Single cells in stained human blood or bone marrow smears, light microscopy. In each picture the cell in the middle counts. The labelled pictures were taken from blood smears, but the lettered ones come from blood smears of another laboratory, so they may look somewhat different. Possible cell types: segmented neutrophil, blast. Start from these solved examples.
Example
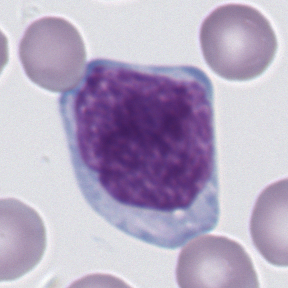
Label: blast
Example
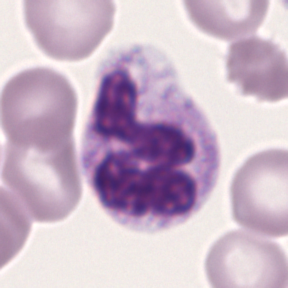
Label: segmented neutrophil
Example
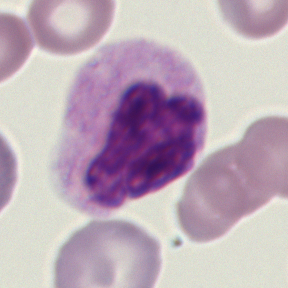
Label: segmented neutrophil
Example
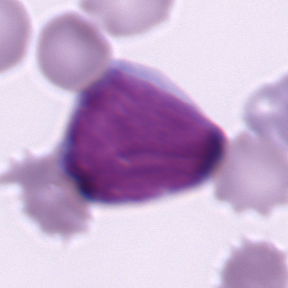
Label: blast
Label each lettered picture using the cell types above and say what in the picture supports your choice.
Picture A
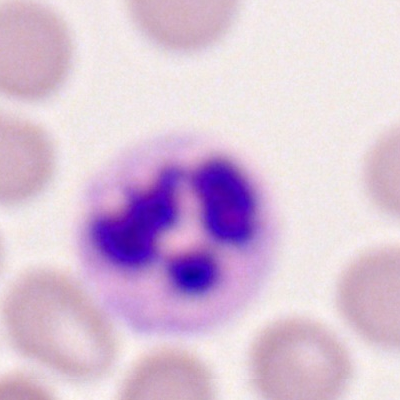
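segmented neutrophil: The nucleus is divided into three separate lobes.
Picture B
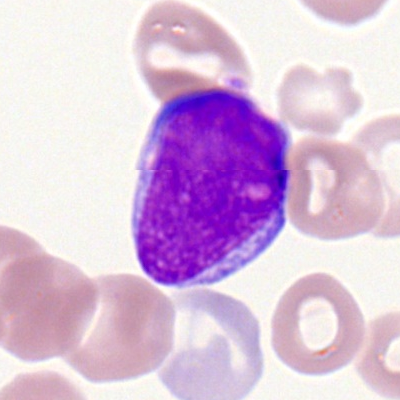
blast: The thin rim of cytoplasm is deep blue.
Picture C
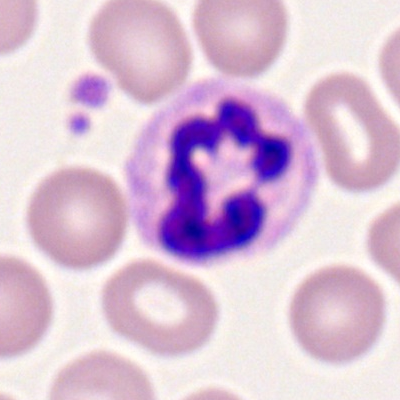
segmented neutrophil: The nuclear lobes are arranged in a ring around a pale central area of the cell.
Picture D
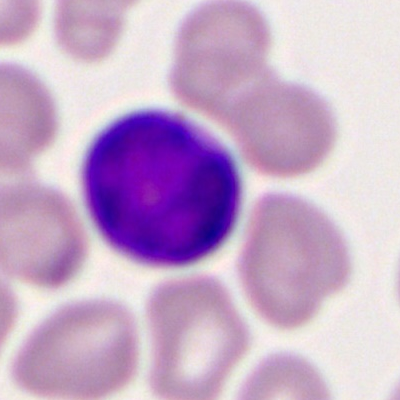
blast: Only a very thin rim of cytoplasm shows around the nucleus.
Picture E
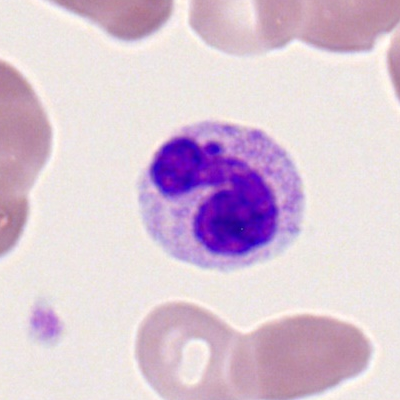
segmented neutrophil: The cytoplasm is plentiful and pale pinkish-lilac.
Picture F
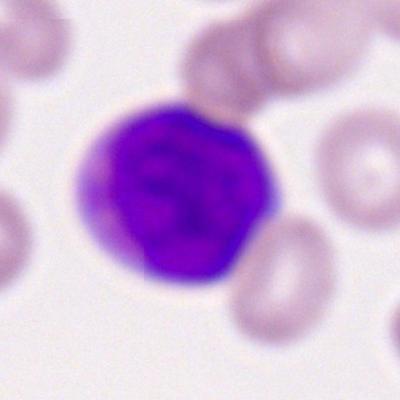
blast: The cytoplasm is scant and shows mainly as a narrow rim on the left side.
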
